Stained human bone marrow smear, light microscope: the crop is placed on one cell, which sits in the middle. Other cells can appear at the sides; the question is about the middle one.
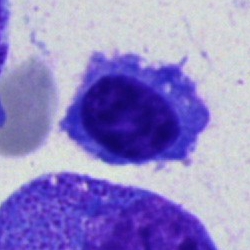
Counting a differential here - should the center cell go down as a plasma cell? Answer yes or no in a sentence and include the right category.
Yes, what sits in the centre of the crop is a plasma cell.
